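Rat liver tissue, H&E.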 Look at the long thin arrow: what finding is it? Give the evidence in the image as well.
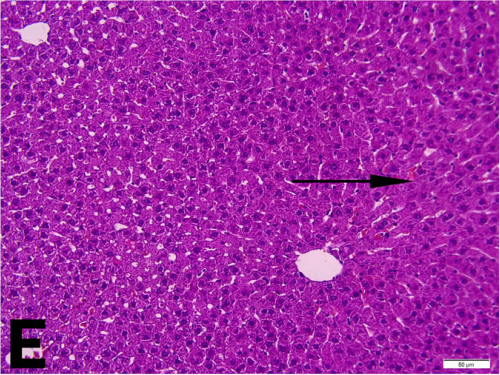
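The arrow points to a sinusoid holding a few red blood cells. The hepatocyte cords around it are otherwise regular. So: mild congestion in sinusoidal vessels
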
